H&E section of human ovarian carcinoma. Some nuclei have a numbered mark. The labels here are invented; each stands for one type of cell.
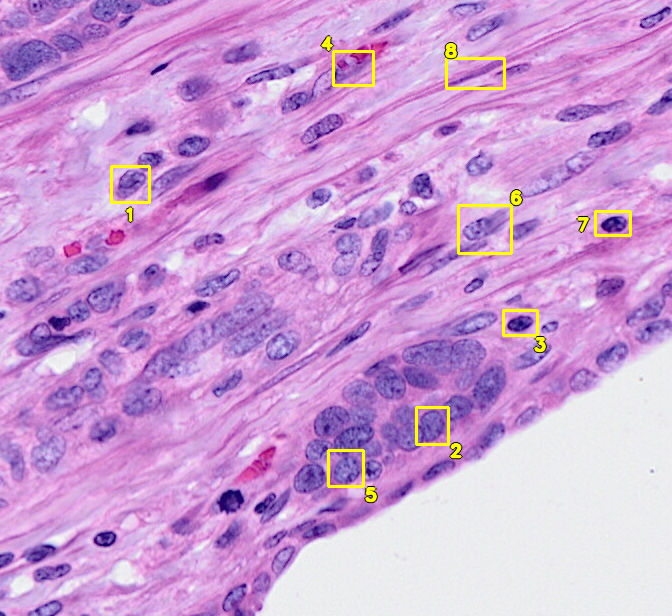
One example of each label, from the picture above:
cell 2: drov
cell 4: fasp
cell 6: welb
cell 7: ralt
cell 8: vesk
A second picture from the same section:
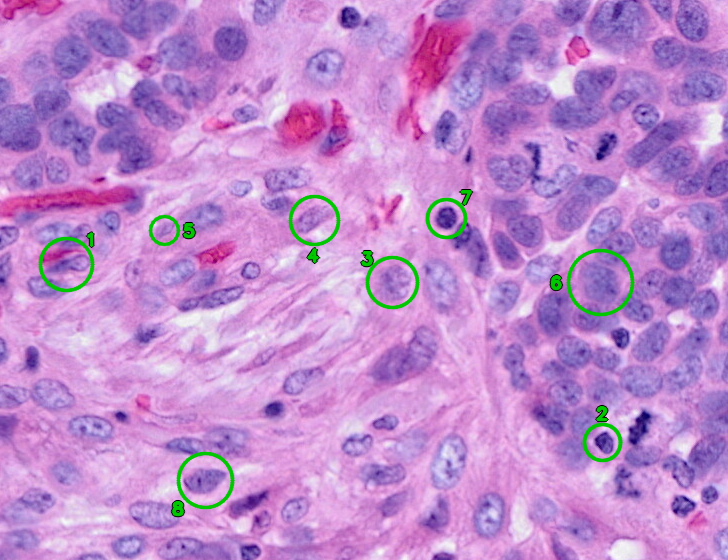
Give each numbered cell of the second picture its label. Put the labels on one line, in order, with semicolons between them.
fasp; ralt; vesk; vesk; vesk; drov; ralt; welb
